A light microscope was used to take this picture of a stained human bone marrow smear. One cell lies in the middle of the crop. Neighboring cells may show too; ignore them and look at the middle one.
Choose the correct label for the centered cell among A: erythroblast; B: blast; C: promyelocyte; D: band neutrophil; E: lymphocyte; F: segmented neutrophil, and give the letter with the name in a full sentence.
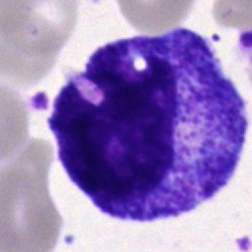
The correct response is option C, naming the cell in the middle as a promyelocyte.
